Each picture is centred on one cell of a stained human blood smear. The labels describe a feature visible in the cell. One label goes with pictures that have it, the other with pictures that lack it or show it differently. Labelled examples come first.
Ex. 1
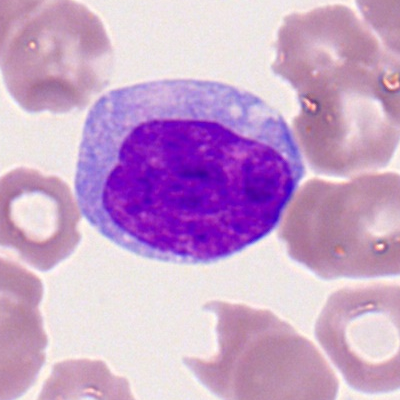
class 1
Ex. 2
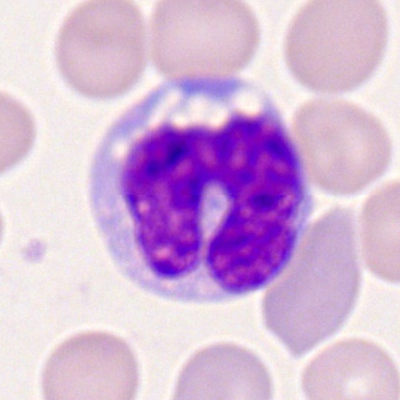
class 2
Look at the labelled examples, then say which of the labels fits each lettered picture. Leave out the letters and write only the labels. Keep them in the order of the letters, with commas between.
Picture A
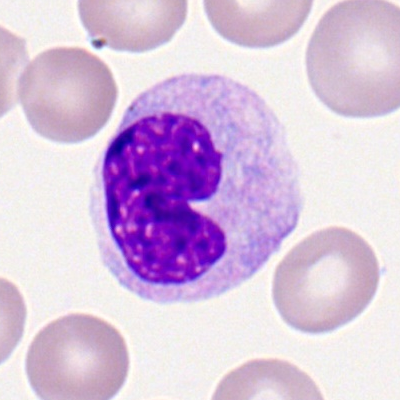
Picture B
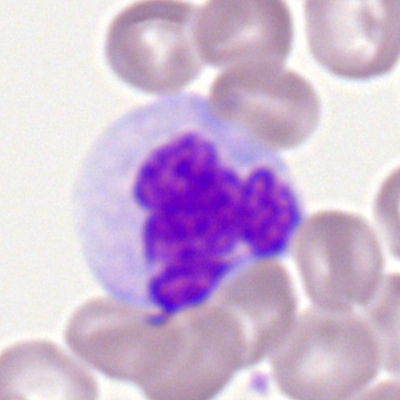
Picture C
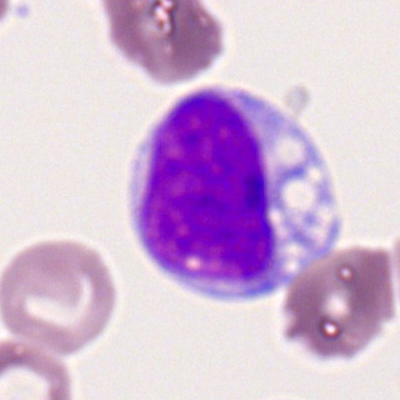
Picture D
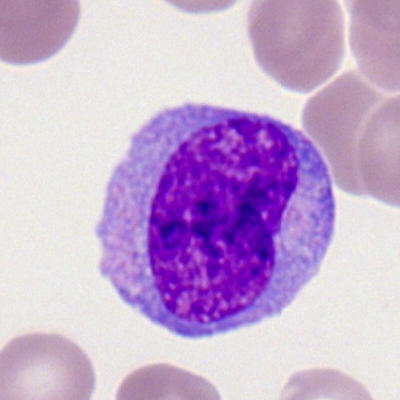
class 1, class 2, class 1, class 1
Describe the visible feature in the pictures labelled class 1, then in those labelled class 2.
In class 1: single compact nucleus. In class 2: lobed nucleus.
